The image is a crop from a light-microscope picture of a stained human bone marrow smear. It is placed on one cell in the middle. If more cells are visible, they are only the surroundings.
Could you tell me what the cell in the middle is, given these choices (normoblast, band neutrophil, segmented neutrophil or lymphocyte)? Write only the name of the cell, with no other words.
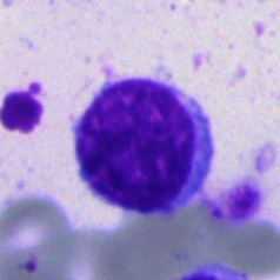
lymphocyte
